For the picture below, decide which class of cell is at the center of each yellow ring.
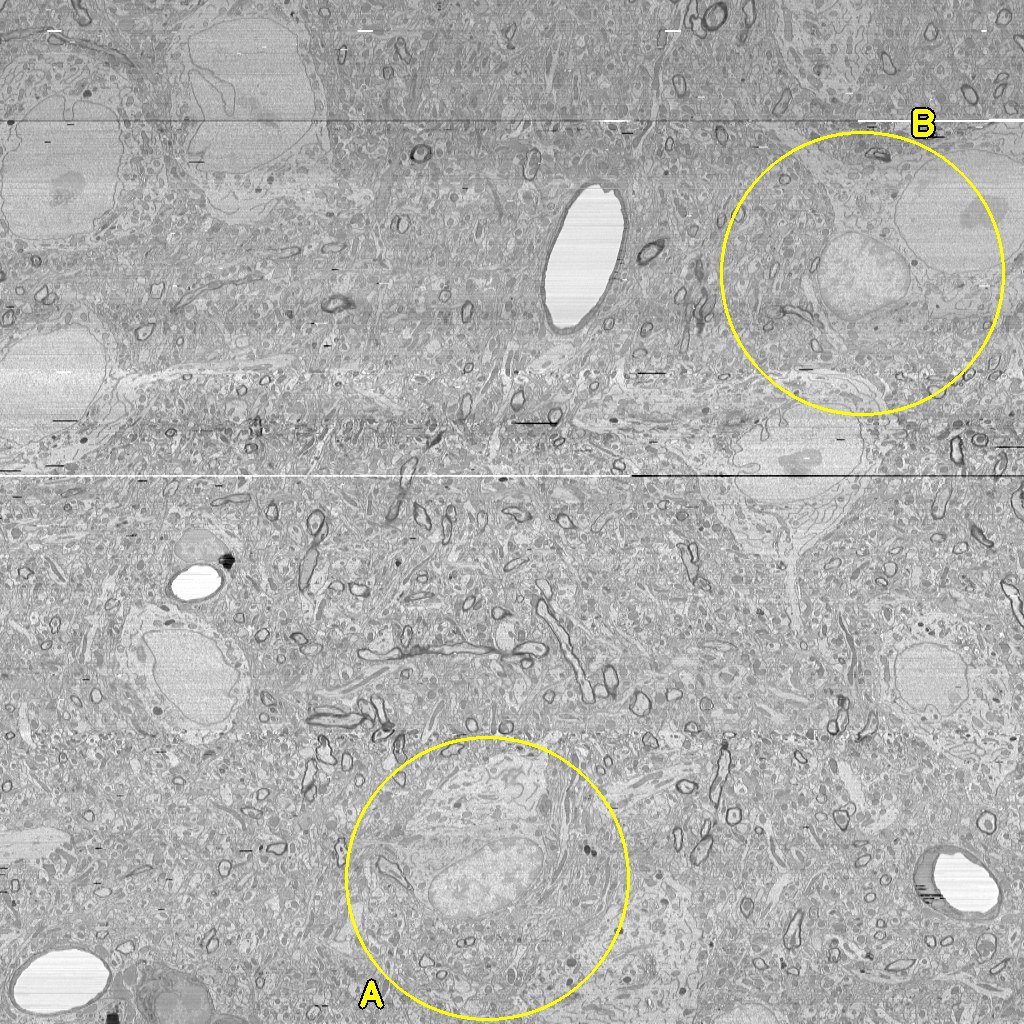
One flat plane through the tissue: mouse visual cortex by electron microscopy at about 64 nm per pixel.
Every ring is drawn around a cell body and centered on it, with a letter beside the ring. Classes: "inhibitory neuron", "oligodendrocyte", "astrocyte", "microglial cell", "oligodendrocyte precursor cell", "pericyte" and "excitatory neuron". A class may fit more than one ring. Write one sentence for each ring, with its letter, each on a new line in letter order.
Centered in ring A is an oligodendrocyte.
Centered in ring B is an oligodendrocyte.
